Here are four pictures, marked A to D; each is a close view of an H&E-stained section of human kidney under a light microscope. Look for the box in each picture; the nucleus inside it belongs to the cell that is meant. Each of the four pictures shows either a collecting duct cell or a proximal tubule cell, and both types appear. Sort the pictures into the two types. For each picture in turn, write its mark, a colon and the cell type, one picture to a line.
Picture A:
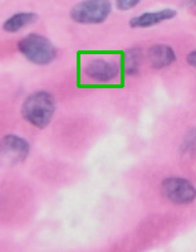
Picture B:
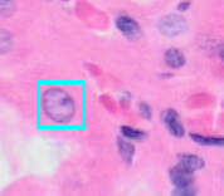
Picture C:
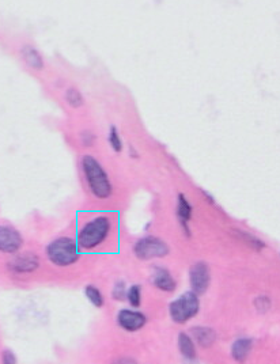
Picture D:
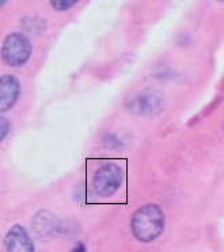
A: proximal tubule cell
B: proximal tubule cell
C: collecting duct cell
D: collecting duct cell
